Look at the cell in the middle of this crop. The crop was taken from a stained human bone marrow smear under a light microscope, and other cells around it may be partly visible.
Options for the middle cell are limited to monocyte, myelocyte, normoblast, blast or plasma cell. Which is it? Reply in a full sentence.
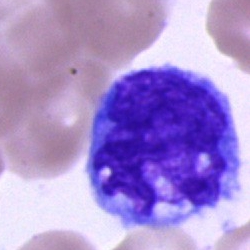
The target cell in the middle of the crop is a monocyte.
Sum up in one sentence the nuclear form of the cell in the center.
The nucleus is one compact mass, round, oval or kidney-shaped in outline.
